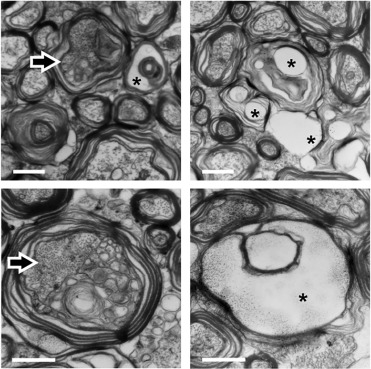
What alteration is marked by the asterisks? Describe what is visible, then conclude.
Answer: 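Vacuole formation/ clearance of axon cytoplasm. The asterisks mark large pale empty spaces within myelinated fibers.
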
